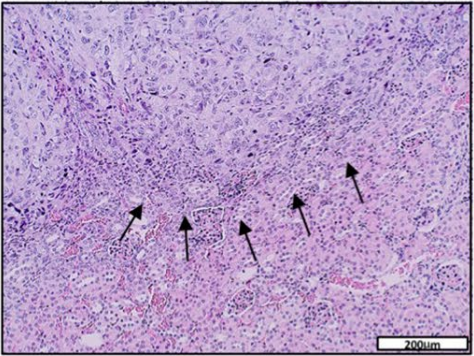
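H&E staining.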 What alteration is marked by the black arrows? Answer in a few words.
Invasive growth pattern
